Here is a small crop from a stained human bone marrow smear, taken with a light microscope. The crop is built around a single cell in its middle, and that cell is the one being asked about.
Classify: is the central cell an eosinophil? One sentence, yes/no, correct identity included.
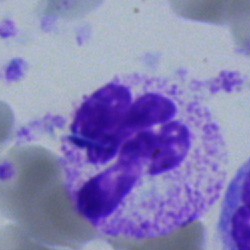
No, it is a neutrophil rather than an eosinophil that the middle of the crop contains.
